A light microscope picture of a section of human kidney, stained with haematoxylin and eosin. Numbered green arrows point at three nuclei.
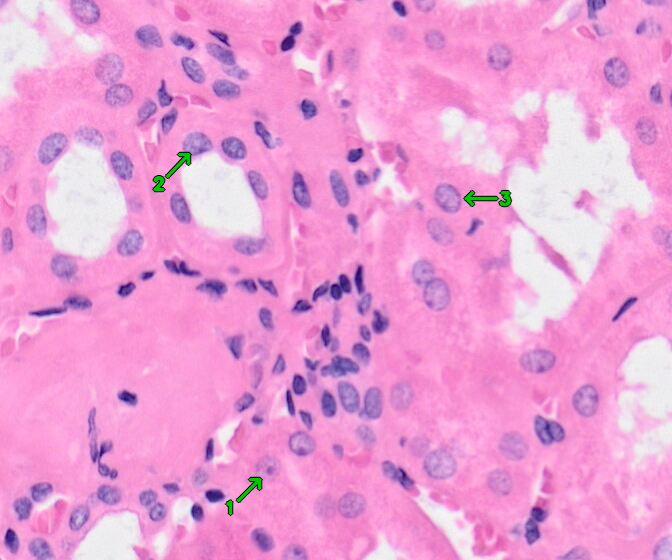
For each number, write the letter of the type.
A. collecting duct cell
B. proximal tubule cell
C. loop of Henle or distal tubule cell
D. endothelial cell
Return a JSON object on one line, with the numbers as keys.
{"1": "B", "2": "C", "3": "B"}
